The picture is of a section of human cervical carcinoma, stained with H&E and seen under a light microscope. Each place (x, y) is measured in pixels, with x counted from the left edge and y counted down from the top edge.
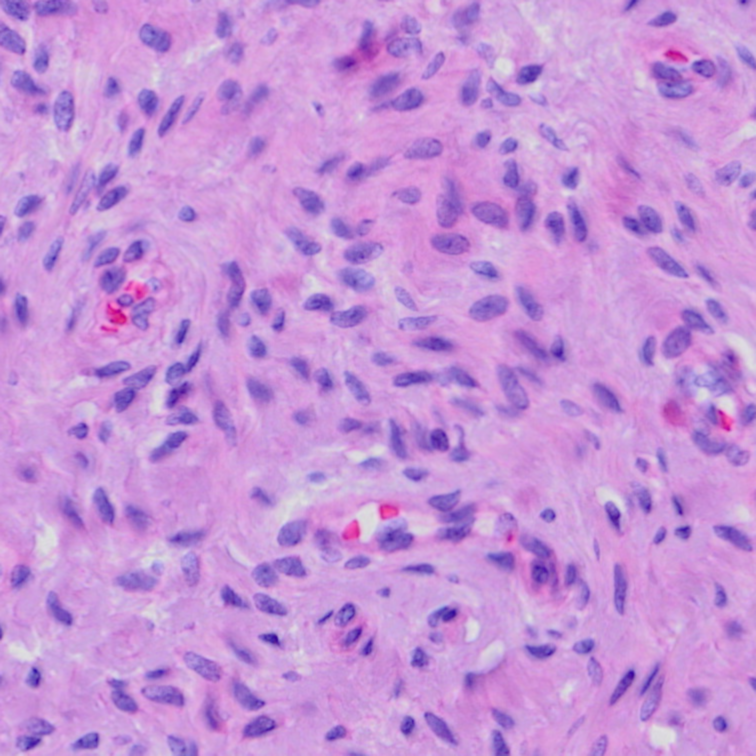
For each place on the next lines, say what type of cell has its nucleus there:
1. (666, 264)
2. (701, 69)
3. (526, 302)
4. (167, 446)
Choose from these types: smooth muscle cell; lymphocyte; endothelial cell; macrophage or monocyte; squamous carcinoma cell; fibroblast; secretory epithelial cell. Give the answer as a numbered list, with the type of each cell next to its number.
1. fibroblast
2. endothelial cell
3. fibroblast
4. fibroblast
